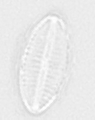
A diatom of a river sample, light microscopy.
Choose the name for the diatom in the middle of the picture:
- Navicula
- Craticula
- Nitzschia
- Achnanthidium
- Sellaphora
Craticula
